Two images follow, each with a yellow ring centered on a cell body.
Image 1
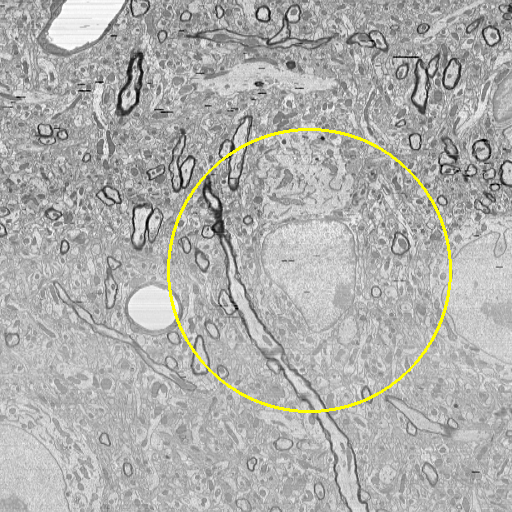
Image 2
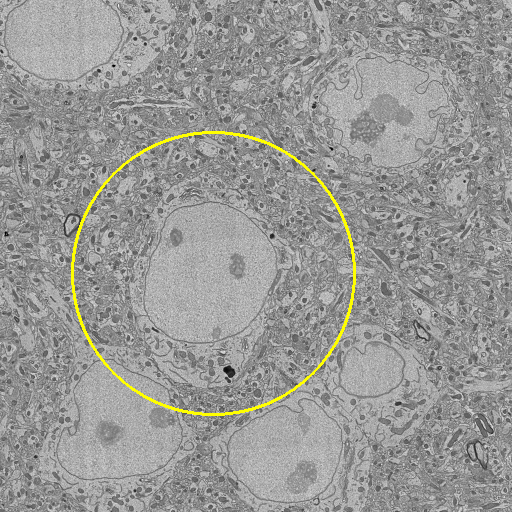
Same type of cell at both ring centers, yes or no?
no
